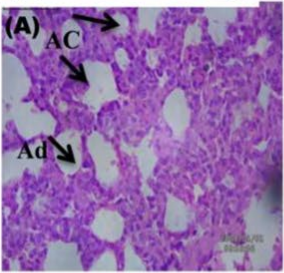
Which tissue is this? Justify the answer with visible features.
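Lung tissue. Many pale, empty, rounded airspaces are scattered through the section. The airspaces are separated by septa of purple-stained cells with dark nuclei.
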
